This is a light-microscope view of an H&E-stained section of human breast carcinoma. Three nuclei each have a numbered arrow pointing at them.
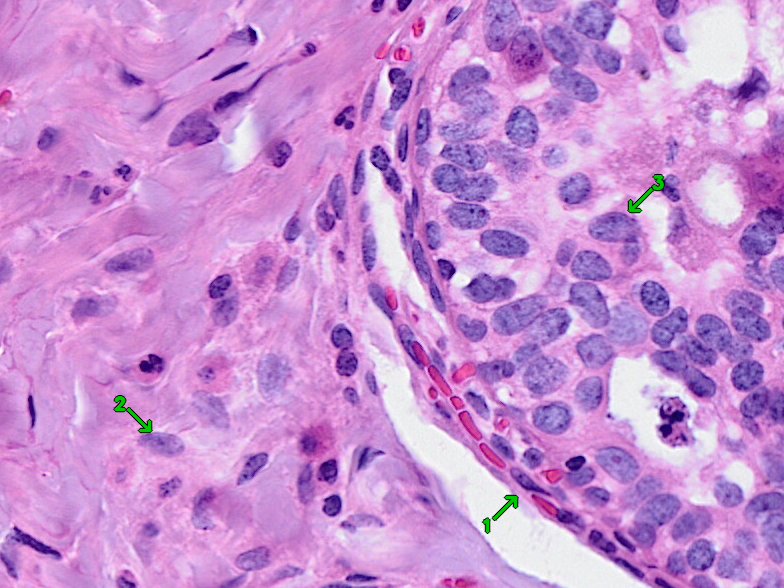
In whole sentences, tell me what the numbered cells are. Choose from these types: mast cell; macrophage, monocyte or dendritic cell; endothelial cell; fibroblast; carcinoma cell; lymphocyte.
Cell 1 is an endothelial cell. Cell 2 is a fibroblast. Cell 3 is a carcinoma cell.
